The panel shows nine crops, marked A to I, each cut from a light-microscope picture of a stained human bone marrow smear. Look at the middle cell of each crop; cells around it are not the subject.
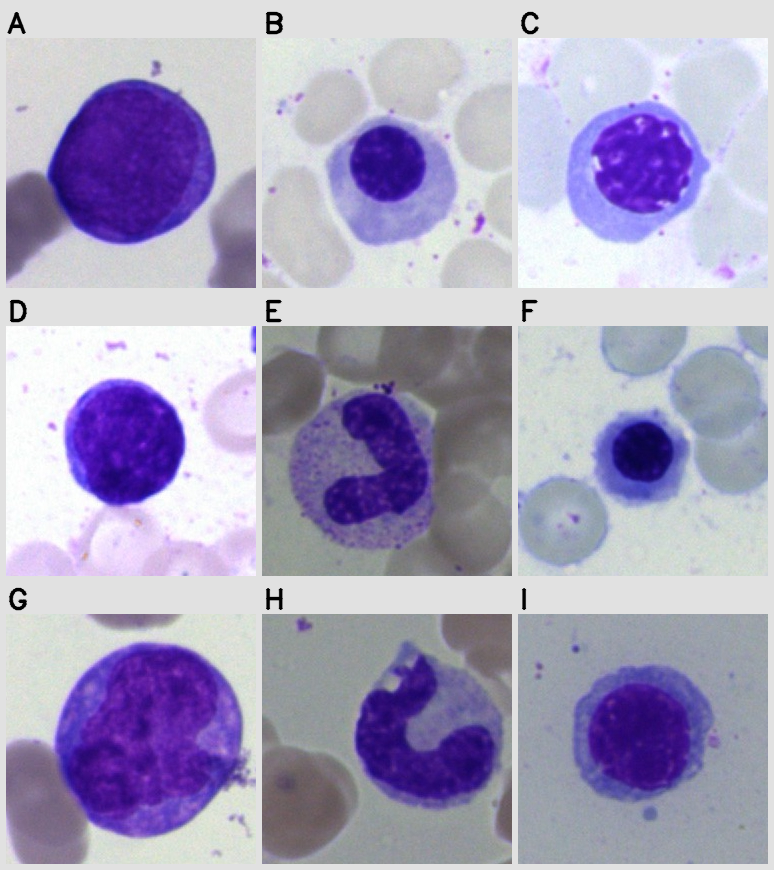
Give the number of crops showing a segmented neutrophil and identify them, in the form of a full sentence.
That no crop shows segmented neutrophils makes the count zero.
